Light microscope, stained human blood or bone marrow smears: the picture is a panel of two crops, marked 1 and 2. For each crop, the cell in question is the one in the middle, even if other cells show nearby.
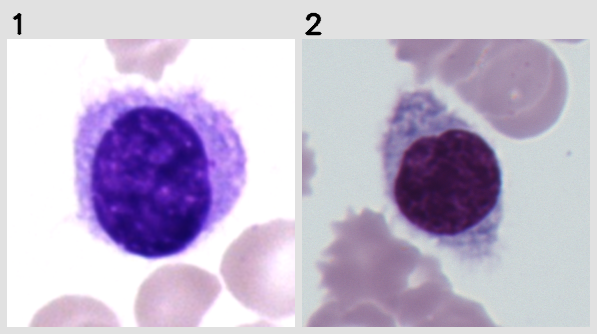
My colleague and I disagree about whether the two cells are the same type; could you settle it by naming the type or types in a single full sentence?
Yes, the two crops show hairy cells at their centres.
